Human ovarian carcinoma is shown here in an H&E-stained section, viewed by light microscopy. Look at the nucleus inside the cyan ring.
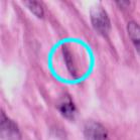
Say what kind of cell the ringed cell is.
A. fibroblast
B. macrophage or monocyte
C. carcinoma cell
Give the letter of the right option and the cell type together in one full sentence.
Among the choices, option A is correct, the ringed cell being a fibroblast.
